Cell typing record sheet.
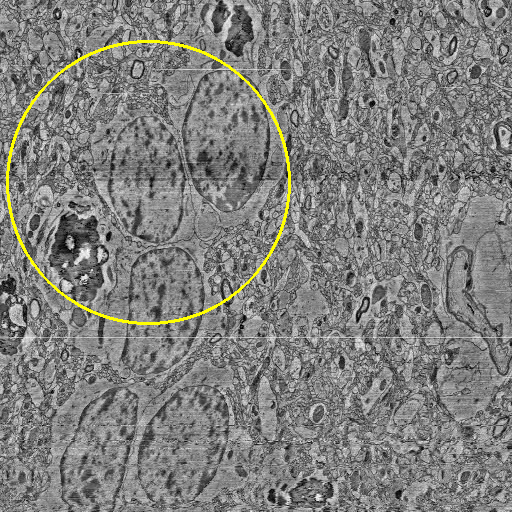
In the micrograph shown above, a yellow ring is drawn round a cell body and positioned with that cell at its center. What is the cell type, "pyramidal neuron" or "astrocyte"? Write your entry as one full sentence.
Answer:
The cell body at the center of the ring belongs to an astrocyte.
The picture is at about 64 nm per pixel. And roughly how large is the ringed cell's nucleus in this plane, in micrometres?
In this plane, about 8 by 5 micrometres: the nucleus is clearly longer than it is wide.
